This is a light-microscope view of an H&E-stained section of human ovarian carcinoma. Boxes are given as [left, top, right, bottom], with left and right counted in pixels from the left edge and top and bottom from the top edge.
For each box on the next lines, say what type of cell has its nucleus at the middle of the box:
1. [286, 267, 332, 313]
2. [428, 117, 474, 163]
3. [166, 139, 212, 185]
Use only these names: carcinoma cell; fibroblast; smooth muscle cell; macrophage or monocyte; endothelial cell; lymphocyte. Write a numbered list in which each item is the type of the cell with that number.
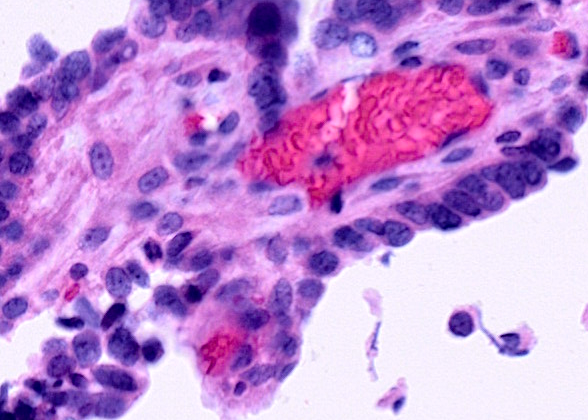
1. carcinoma cell
2. endothelial cell
3. fibroblast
